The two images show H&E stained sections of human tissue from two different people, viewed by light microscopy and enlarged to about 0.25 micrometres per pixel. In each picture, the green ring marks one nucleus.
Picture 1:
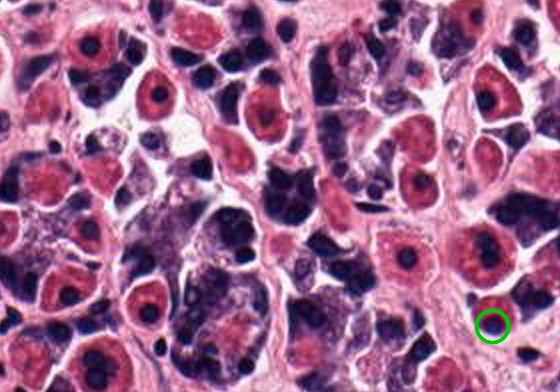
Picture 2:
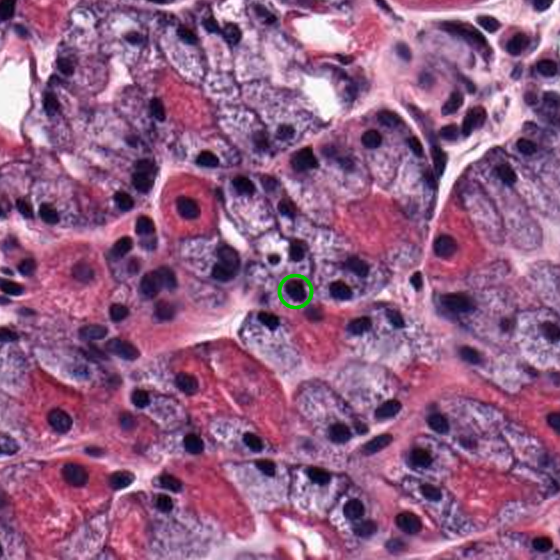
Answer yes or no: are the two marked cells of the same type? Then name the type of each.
No, the first is a parietal cell and the second a chief cell.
